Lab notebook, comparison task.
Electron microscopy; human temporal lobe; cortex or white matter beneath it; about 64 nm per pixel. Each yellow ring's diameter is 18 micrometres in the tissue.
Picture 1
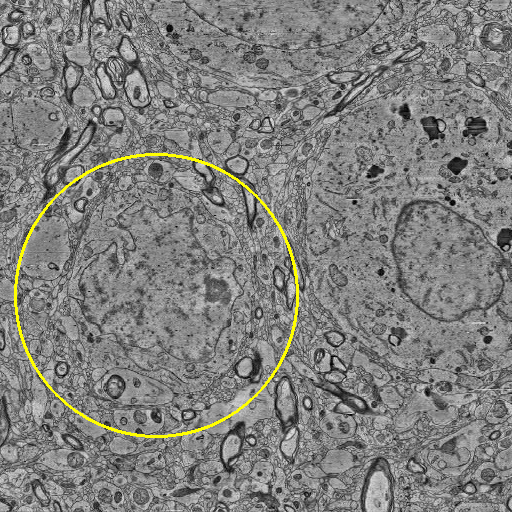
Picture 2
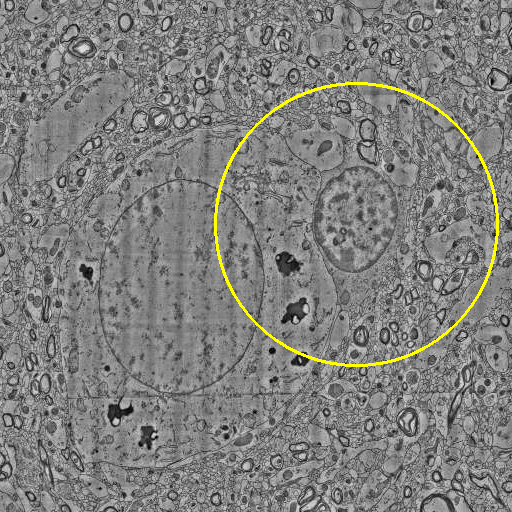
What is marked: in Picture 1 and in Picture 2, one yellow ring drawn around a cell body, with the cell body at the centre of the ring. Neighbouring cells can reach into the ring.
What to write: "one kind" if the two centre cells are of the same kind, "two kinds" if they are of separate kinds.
two kinds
